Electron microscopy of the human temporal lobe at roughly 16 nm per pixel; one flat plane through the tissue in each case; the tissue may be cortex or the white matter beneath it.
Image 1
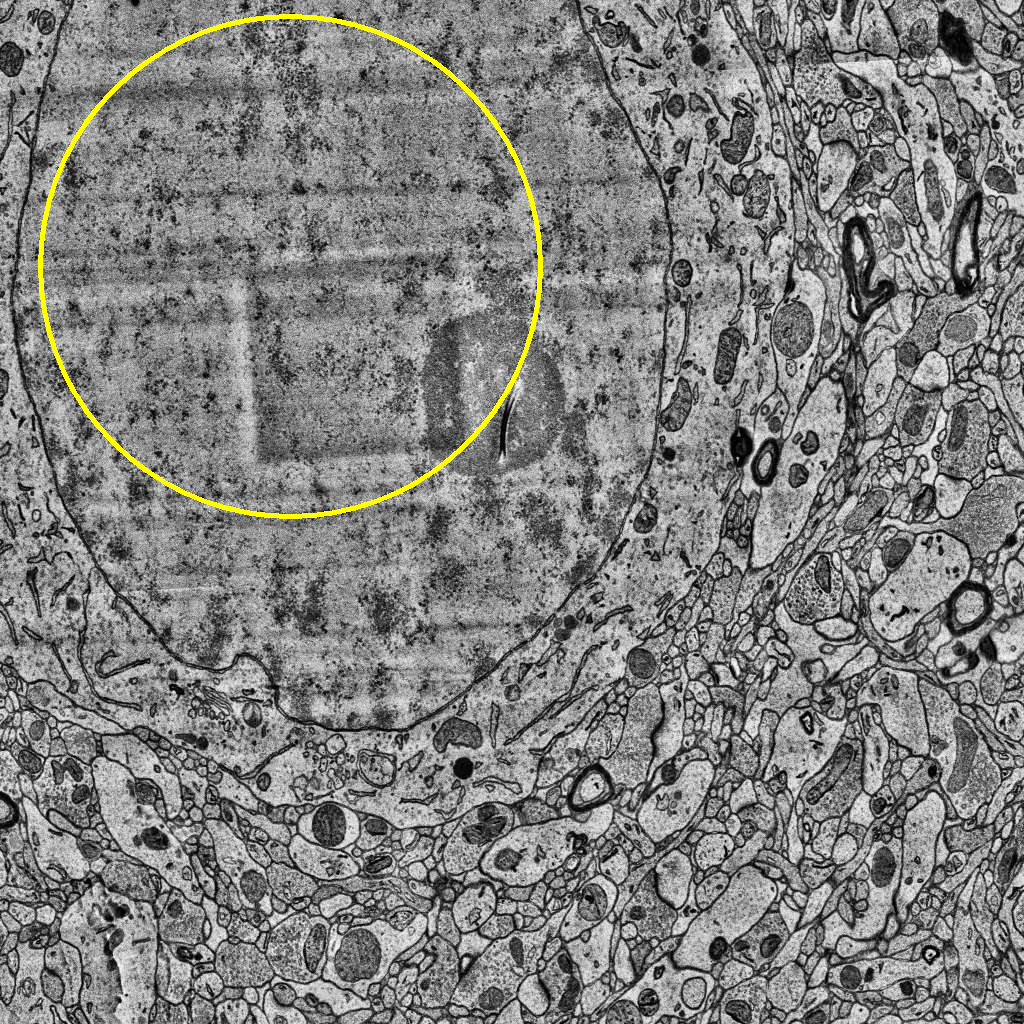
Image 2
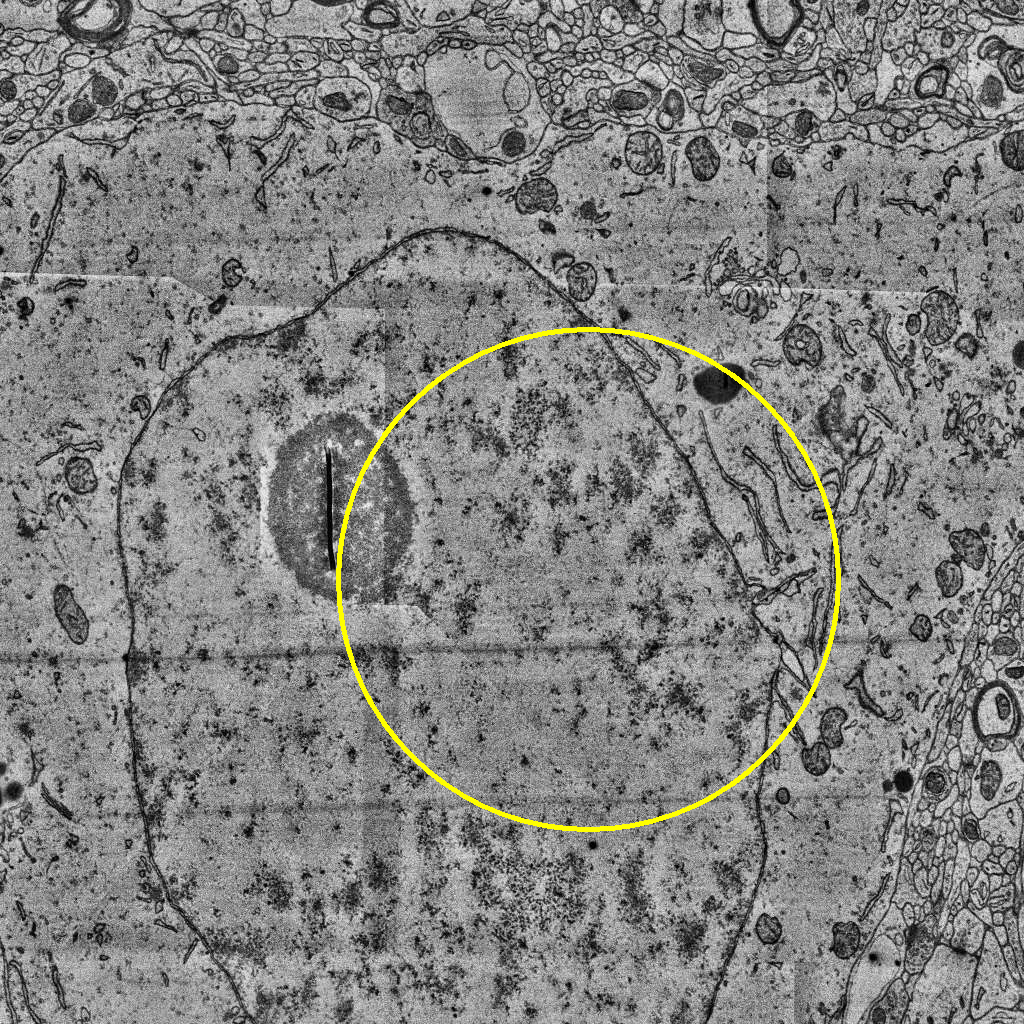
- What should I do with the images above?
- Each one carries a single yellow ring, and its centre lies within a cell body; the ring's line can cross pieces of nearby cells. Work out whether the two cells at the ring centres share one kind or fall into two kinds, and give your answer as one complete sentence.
The ring-centre cells of Image 1 and Image 2 share one kind.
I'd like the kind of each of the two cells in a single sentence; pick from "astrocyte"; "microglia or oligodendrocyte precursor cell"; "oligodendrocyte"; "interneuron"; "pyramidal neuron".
Both cells are the same kind, each one being a pyramidal neuron.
